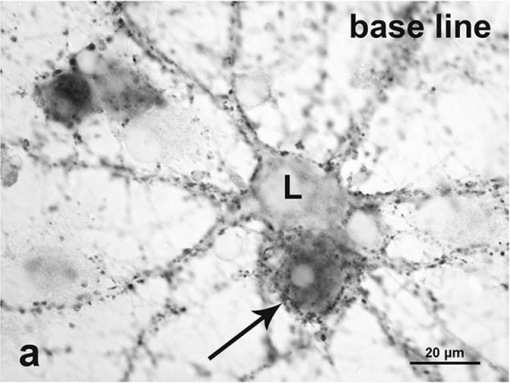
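Cultured neurons of different sizes lie in a network of beaded processes. At the centre a large neuron with a pale cell body sends several processes radiating outward, while just below it another large cell body is densely covered with dark granules around a paler nucleus. In the upper left a further darkly granular cell body is seen. The processes are lined with small dark dots along their length, giving them a beaded look. Pale rounded profiles lie between the cells.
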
